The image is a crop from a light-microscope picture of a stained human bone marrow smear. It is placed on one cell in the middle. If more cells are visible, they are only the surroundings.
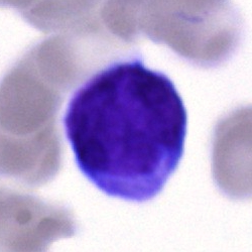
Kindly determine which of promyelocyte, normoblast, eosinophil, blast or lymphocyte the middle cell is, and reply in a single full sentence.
The middle position in this crop is taken by a blast.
